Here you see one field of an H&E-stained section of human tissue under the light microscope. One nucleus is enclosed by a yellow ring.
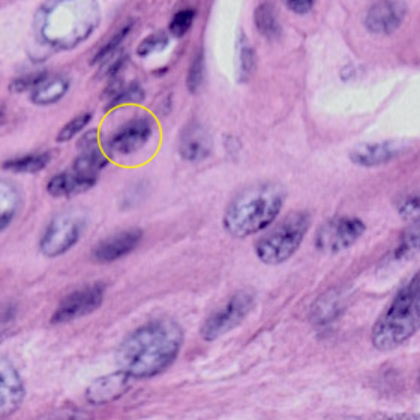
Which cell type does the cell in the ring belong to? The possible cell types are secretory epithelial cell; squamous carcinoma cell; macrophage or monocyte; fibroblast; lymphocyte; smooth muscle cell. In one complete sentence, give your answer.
Within the stained tissue, the cell in the ring is a squamous carcinoma cell.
